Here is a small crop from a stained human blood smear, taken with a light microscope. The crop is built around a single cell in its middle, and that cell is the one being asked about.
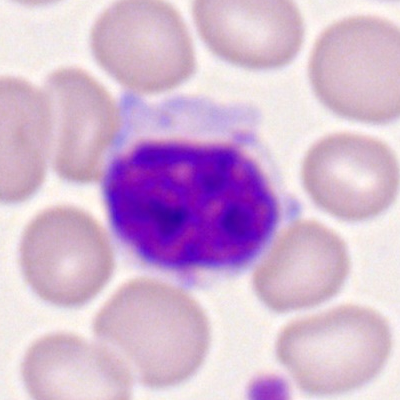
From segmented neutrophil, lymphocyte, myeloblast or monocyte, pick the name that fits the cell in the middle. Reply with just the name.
lymphocyte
